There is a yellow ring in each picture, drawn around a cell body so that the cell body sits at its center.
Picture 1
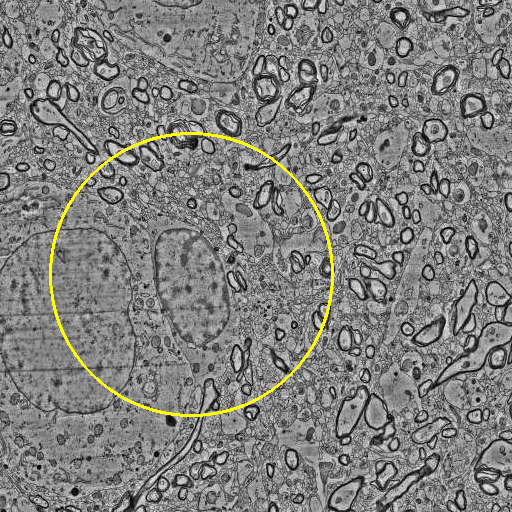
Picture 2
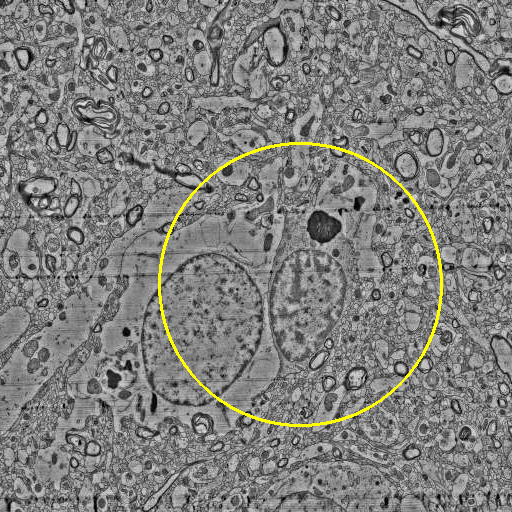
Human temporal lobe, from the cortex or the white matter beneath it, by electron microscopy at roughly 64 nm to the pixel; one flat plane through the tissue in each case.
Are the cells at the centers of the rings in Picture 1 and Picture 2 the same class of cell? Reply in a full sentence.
Yes, the two cells are the same class of cell.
